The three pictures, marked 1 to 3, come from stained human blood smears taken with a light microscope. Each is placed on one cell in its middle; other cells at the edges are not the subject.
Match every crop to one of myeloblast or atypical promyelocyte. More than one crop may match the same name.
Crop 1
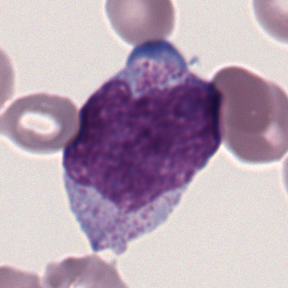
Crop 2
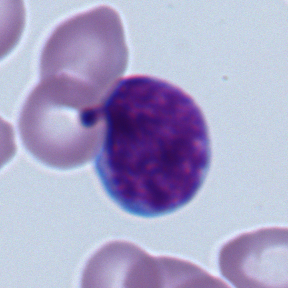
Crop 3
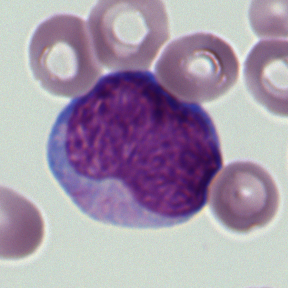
1: atypical promyelocyte
2: myeloblast
3: atypical promyelocyte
